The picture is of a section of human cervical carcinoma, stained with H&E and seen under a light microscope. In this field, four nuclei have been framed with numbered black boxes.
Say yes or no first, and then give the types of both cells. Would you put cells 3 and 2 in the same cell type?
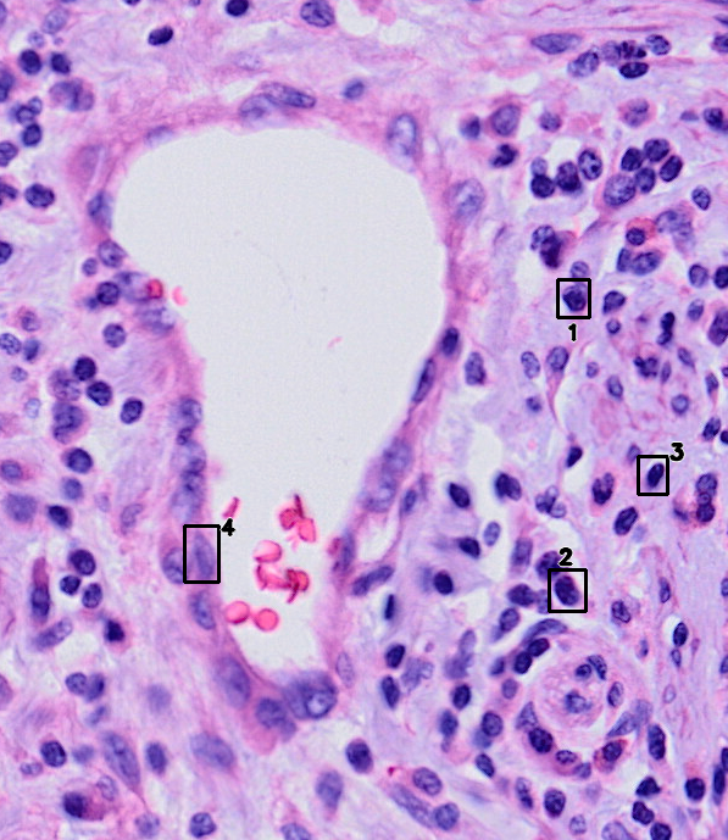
Yes, with respect to identity, cells 3 and 2 are both lymphocytes.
